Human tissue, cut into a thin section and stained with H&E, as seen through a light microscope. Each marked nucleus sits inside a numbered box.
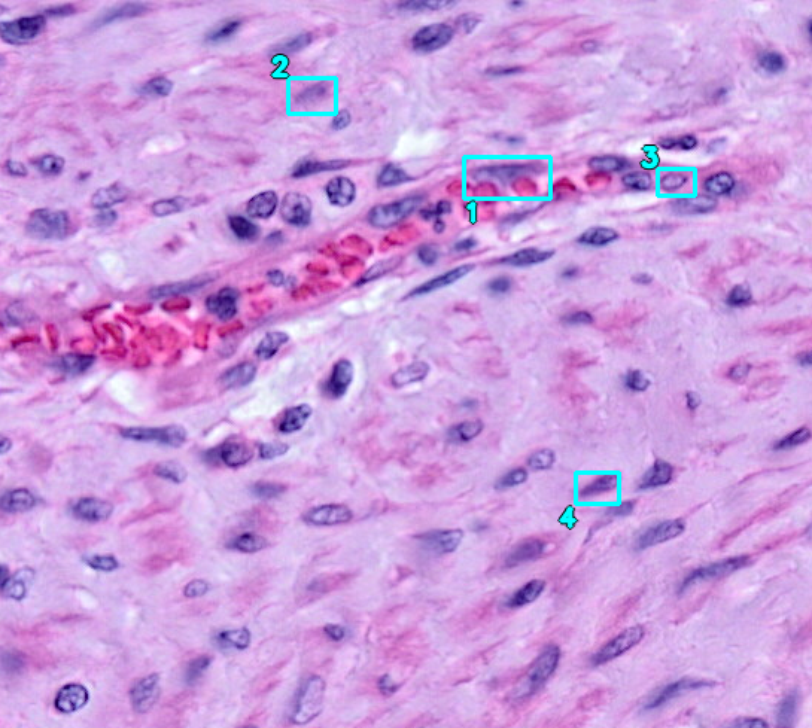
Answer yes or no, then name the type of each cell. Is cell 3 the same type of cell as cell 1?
Yes, both of the cells numbered 3 and 1 are endothelial cells.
